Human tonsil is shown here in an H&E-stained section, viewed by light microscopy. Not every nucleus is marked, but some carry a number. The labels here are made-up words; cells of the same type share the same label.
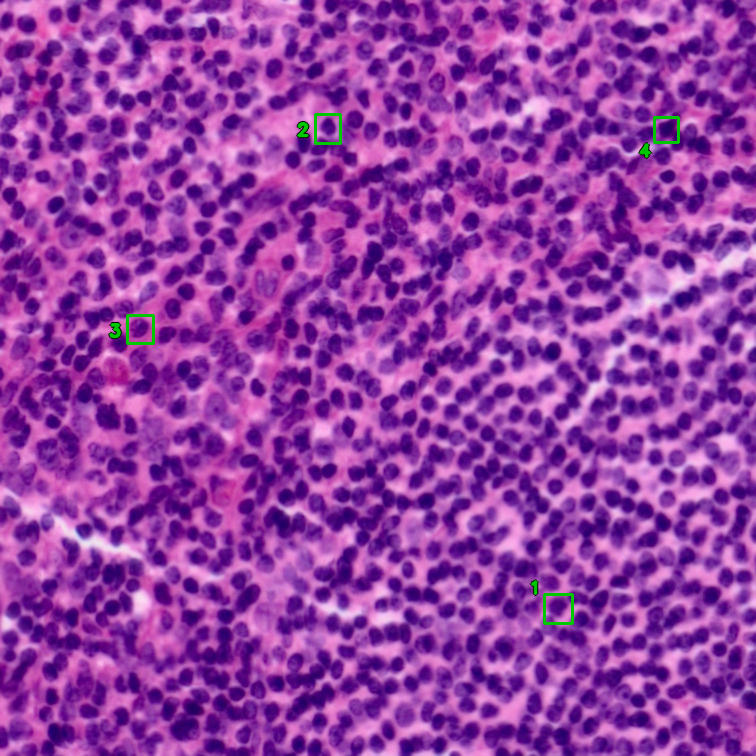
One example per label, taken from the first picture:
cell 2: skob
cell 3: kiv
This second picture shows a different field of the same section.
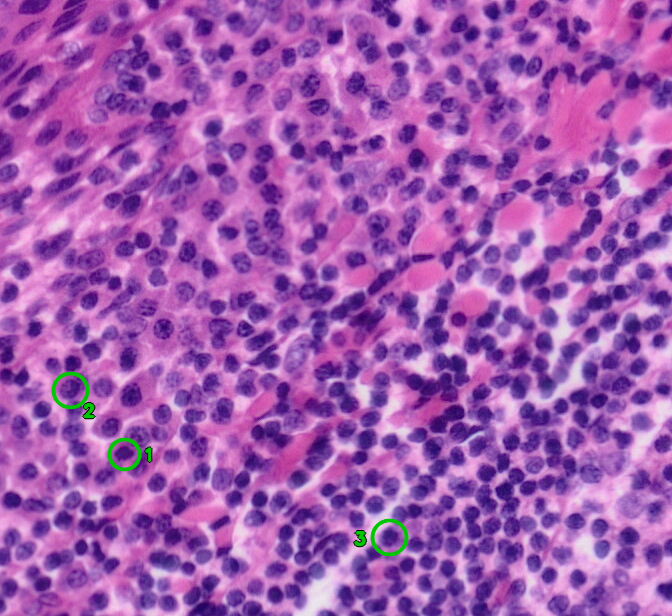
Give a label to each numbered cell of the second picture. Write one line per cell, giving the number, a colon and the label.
1: kiv
2: kiv
3: skob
